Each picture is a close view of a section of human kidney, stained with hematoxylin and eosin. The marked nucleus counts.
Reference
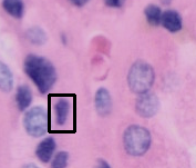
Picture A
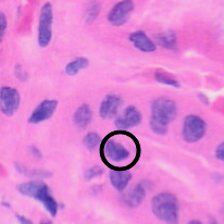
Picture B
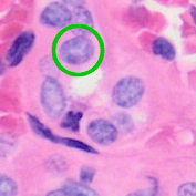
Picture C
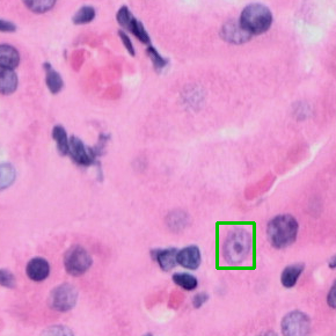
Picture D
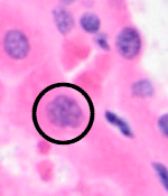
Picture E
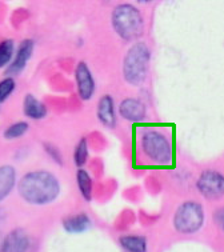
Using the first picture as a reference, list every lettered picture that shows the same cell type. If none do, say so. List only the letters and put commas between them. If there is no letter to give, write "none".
A, B, E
